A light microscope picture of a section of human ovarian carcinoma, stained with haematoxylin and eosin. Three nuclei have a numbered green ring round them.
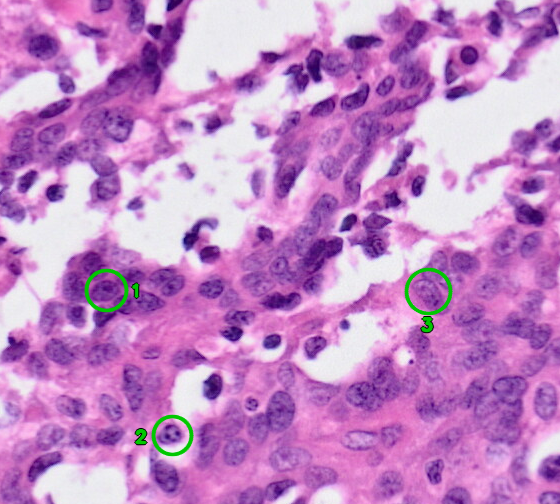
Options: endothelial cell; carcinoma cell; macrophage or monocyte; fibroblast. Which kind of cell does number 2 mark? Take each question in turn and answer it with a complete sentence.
The cell pointed out by number 2 is a macrophage or monocyte.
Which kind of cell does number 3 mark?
The correct answer for cell 3 is a carcinoma cell.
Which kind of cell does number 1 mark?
The cell numbered 1 has been identified as a carcinoma cell.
